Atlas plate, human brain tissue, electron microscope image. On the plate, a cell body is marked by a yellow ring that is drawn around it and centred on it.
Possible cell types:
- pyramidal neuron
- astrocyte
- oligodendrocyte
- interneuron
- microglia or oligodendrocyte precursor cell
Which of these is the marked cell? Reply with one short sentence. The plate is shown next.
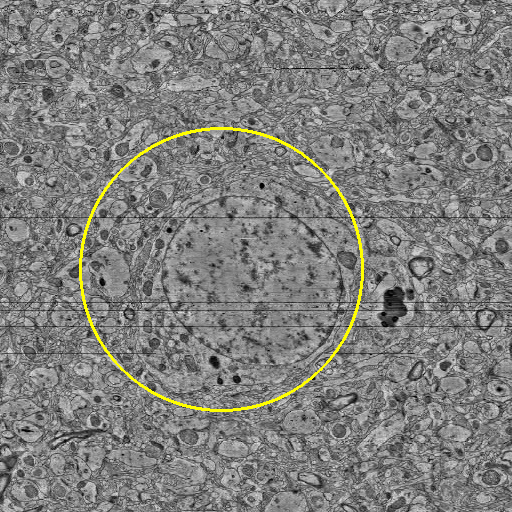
The marked cell is a pyramidal neuron.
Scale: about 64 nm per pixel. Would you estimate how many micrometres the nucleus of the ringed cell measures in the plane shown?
About 12 by 10 micrometres in this plane.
